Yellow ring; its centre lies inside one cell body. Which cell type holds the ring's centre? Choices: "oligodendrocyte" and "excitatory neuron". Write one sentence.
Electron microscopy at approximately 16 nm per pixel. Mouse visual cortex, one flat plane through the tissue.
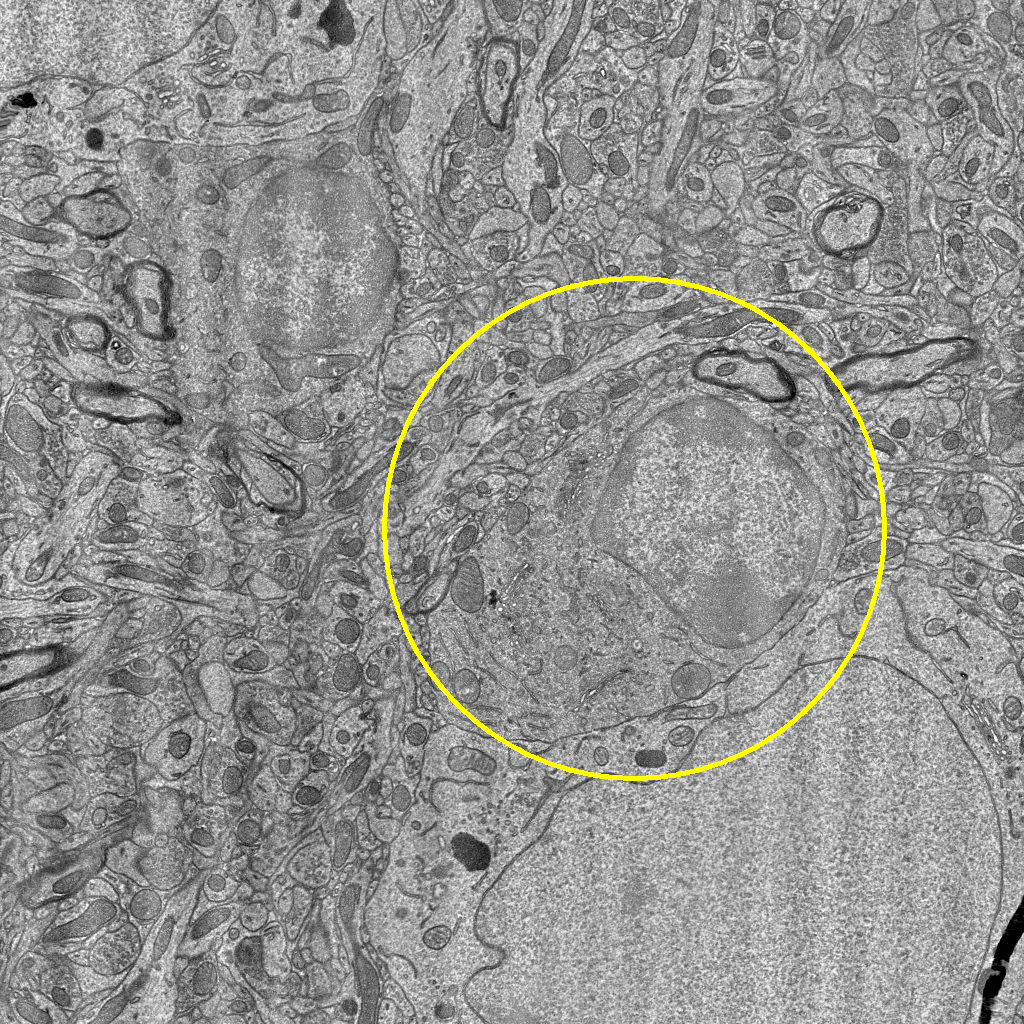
At the centre of the ring sits an oligodendrocyte.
